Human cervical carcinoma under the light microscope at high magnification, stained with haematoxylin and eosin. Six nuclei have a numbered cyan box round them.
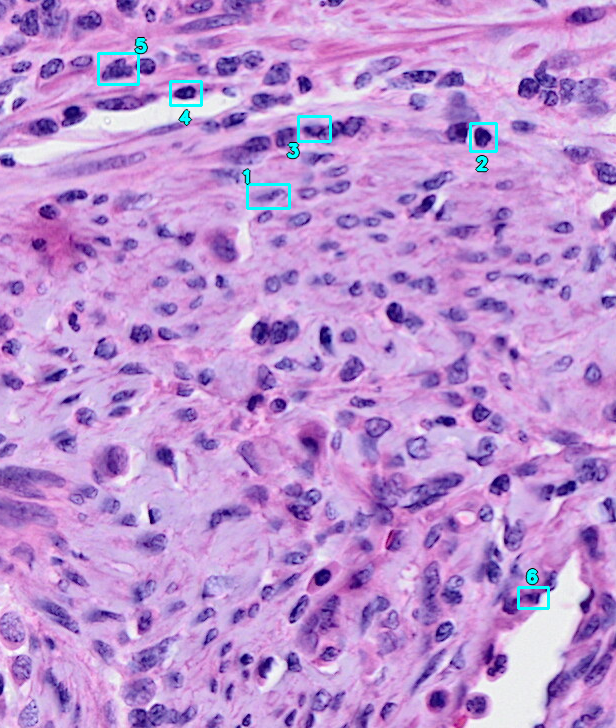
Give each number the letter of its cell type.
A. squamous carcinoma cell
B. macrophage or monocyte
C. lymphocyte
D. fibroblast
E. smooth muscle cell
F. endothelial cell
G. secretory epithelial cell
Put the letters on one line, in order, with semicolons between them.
D; C; C; C; C; F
